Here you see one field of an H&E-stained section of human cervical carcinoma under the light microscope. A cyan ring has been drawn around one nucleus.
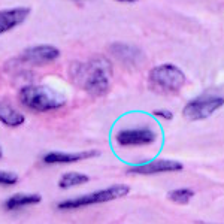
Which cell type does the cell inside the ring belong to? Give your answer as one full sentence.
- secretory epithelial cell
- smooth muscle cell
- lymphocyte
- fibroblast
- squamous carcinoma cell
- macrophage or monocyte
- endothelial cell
The expected answer is simply that the cell inside the ring is a fibroblast.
